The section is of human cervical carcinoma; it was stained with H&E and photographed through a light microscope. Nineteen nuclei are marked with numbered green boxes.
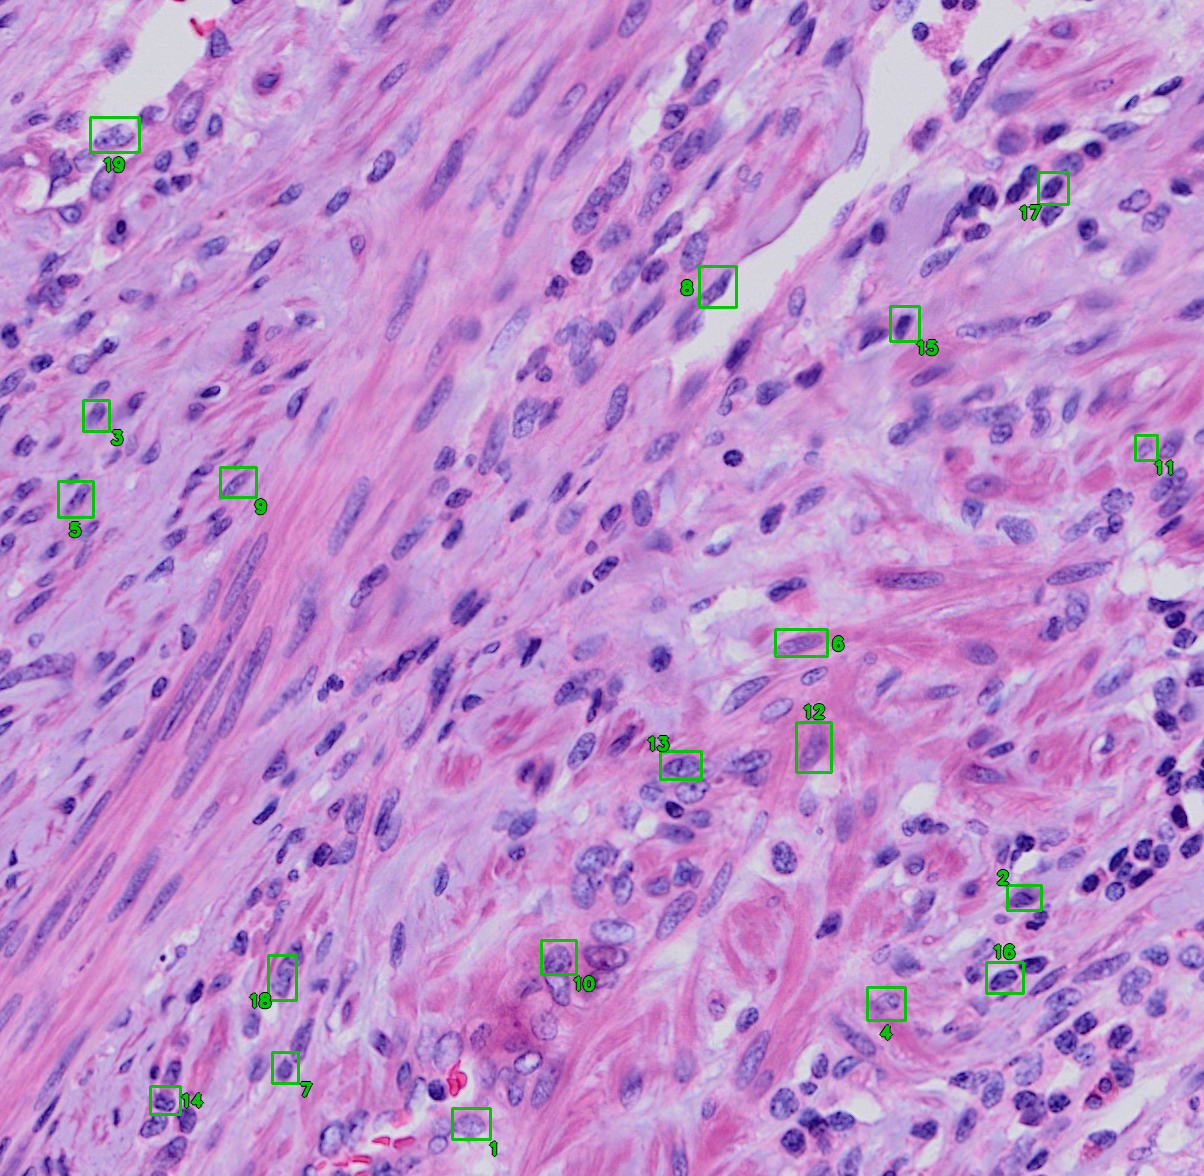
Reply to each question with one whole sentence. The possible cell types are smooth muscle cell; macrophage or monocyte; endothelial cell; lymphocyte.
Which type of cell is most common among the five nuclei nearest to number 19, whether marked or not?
Endothelial cells account for more than half of the five nuclei nearest to number 19.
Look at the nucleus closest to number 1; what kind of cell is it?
The cell nearest to number 1 is an endothelial cell.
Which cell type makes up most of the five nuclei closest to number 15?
Around number 15, most of the five nearest nuclei are those of macrophages or monocytes.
